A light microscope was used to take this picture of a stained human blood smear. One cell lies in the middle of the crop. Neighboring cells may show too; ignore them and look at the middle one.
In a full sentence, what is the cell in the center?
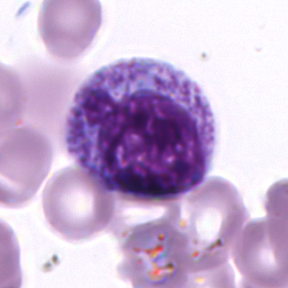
The cell marked by its central position in the crop is a myelocyte.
